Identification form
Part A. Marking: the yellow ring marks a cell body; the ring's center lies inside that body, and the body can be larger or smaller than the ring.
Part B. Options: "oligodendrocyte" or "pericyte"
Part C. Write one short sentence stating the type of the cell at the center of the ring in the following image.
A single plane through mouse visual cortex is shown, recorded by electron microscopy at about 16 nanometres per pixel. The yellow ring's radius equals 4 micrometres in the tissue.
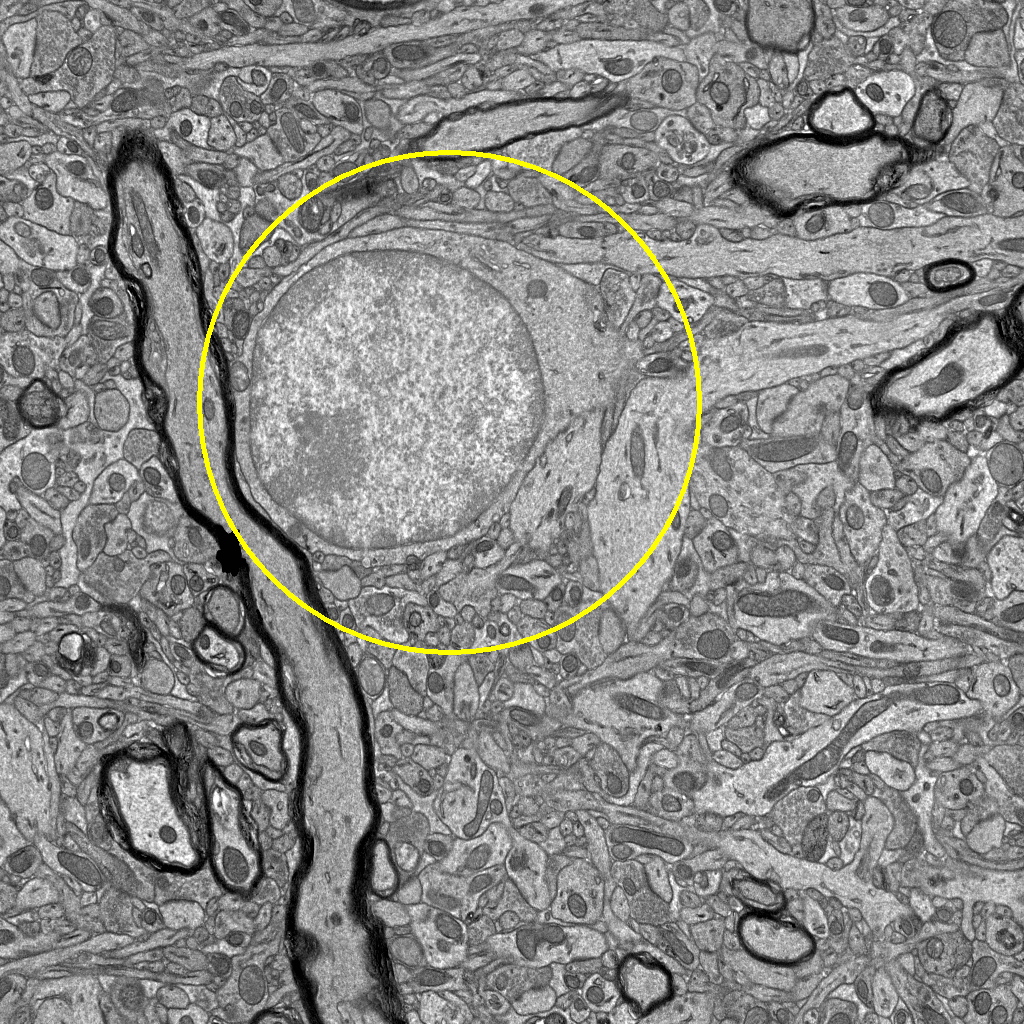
The center of the ring holds an oligodendrocyte.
